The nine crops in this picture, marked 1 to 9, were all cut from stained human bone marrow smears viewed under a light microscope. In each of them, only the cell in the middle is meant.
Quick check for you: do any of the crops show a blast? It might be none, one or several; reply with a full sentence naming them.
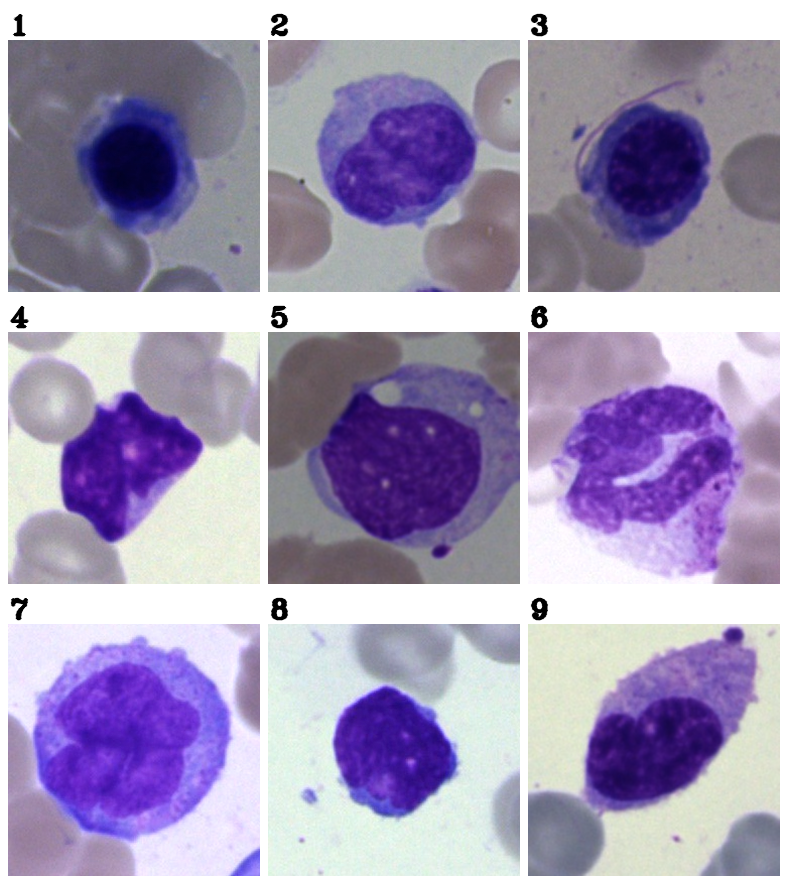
Crops 4 and 8 show blasts as their centred cells.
